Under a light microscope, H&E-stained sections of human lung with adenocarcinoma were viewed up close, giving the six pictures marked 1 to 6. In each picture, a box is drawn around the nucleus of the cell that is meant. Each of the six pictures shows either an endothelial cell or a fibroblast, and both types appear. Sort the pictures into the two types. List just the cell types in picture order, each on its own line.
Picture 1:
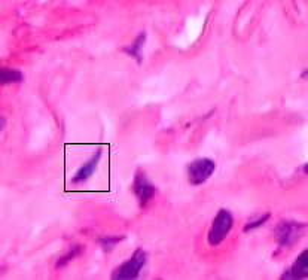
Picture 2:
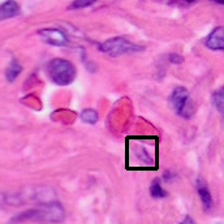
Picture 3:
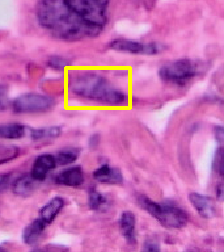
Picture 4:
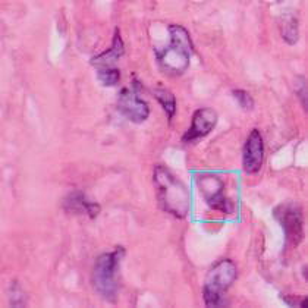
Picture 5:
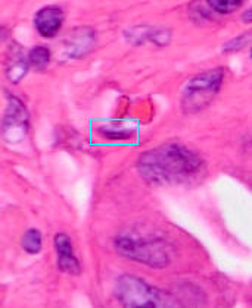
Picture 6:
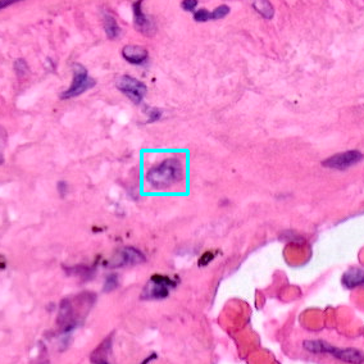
fibroblast
endothelial cell
endothelial cell
endothelial cell
endothelial cell
fibroblast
